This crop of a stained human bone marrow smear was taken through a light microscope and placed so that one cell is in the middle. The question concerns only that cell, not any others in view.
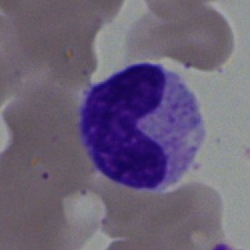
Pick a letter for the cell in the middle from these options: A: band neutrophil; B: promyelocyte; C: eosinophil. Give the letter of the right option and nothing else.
A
